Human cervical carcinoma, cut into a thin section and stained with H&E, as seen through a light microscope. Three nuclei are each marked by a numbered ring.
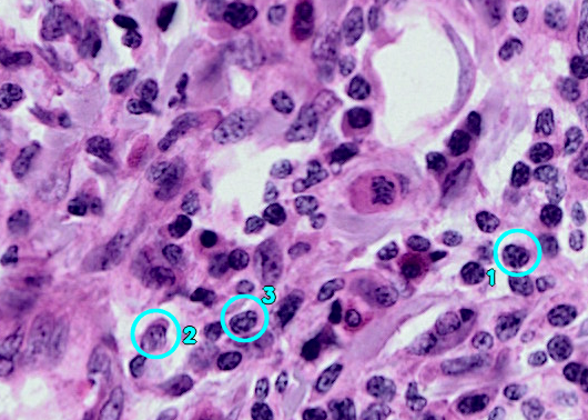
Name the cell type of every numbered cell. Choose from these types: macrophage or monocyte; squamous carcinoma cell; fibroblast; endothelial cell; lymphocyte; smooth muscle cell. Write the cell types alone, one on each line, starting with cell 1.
lymphocyte
macrophage or monocyte
lymphocyte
